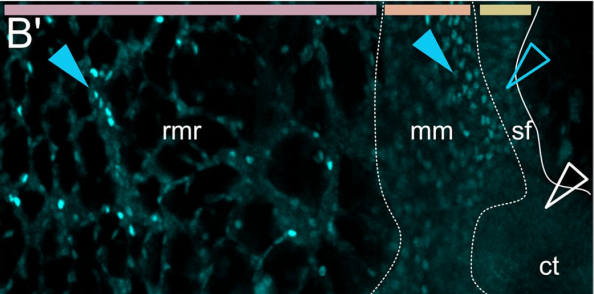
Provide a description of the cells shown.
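This field shows a strip of mesentery divided by dotted lines into bands, from a broad retractor muscle region on the left through a medial band and a narrow septal filament to a ciliated tract on the right. In the broad left band the cyan label forms a coarse meshwork of strands with many bright dots scattered along them, leaving dark polygonal gaps between. The medial band is more uniformly crowded with small bright cyan dots without the open meshwork. The narrow band to its right and the tissue beyond carry only a faint diffuse cyan haze with few distinct dots.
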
